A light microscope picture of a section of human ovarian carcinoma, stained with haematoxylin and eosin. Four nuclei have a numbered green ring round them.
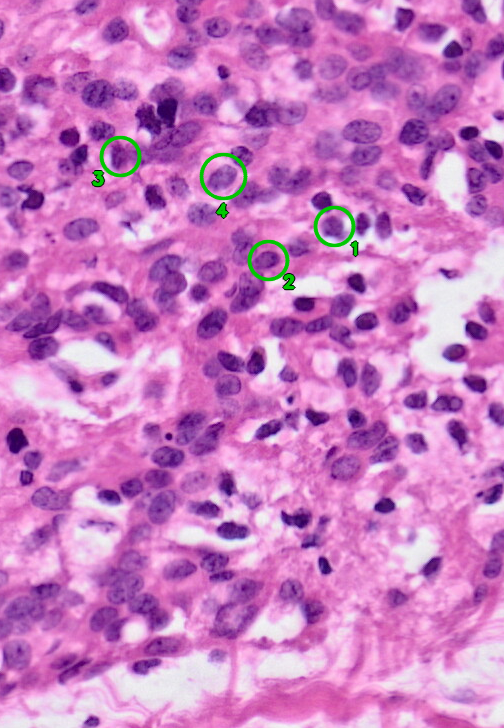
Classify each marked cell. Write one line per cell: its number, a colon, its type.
1: carcinoma cell
2: carcinoma cell
3: carcinoma cell
4: macrophage or monocyte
